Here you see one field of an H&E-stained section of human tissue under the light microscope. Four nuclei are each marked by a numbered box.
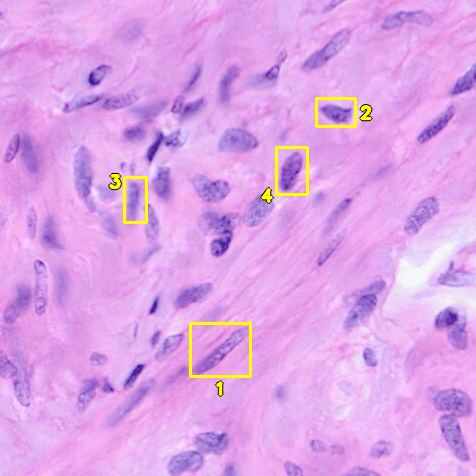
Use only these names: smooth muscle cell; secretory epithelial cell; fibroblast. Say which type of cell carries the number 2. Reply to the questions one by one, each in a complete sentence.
That cell with number 2 is a fibroblast.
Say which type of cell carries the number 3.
Marked with the number 3, this cell is a fibroblast.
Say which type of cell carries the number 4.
Cell 4 of the marked set is a fibroblast.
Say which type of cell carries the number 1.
At number 1, the marked cell is a smooth muscle cell.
